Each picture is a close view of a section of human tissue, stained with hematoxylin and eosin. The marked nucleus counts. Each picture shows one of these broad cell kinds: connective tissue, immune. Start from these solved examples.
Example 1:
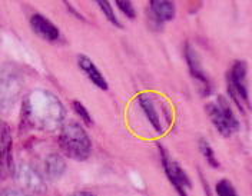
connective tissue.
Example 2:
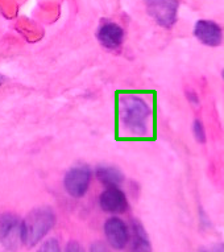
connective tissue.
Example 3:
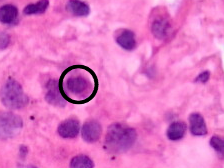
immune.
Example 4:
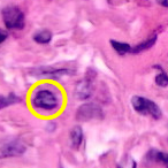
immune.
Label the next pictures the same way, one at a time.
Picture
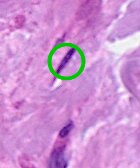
connective tissue.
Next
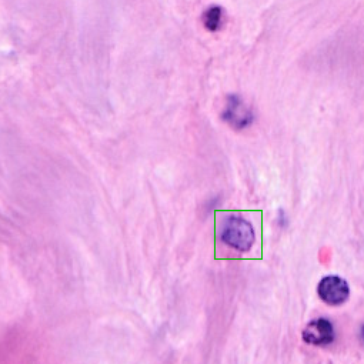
immune.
